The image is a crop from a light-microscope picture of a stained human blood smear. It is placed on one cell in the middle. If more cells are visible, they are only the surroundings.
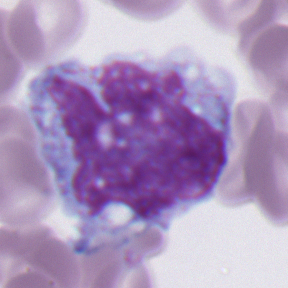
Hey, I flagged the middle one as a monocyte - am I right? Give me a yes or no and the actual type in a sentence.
Yes, the central element of the crop is a monocyte.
